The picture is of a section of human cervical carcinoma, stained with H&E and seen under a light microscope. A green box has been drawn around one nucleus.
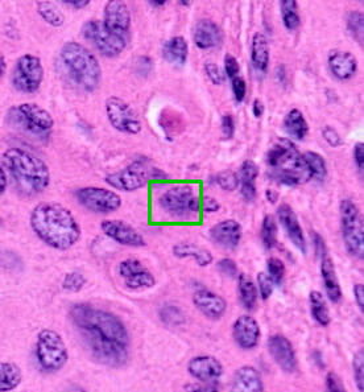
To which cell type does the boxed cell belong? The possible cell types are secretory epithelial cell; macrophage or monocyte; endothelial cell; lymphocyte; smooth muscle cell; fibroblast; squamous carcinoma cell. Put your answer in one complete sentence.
The boxed cell is a squamous carcinoma cell.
